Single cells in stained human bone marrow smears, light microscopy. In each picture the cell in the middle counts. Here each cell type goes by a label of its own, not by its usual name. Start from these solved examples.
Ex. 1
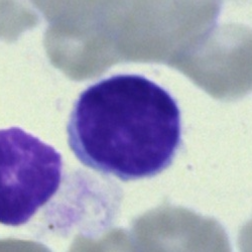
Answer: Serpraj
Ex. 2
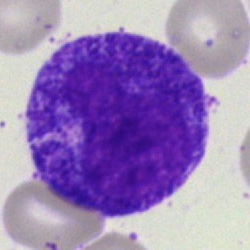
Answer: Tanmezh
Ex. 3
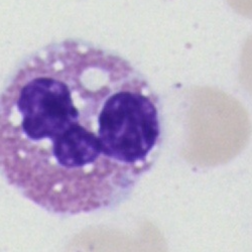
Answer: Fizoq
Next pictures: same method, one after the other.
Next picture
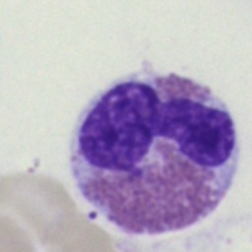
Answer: Fizoq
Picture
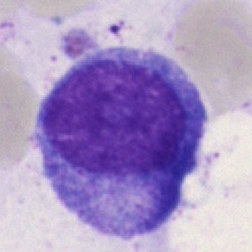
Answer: Tanmezh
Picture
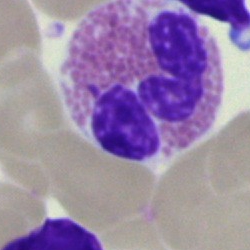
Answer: Fizoq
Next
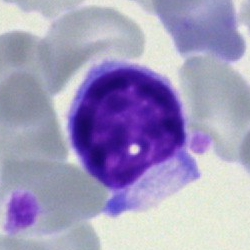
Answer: Serpraj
